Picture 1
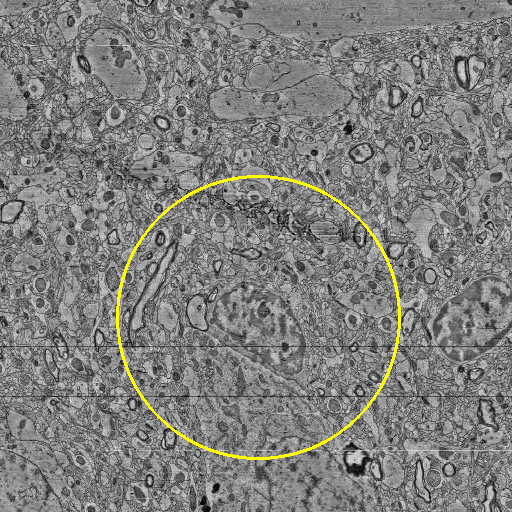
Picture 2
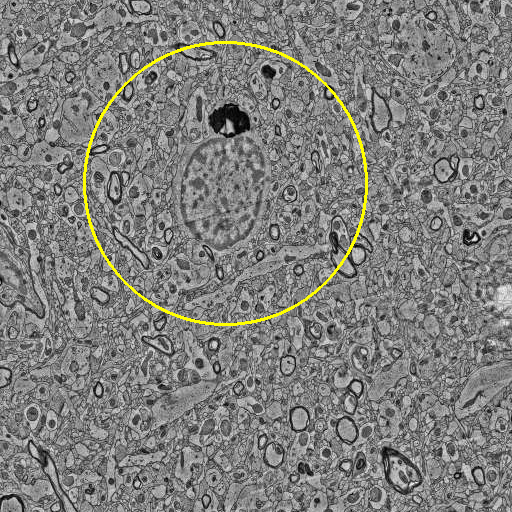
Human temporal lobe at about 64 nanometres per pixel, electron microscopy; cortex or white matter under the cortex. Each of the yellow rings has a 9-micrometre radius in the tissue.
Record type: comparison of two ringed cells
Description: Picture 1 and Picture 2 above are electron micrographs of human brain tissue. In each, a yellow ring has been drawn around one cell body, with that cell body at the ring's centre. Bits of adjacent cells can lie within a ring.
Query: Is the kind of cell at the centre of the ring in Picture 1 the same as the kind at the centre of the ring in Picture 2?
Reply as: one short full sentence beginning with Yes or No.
Yes, the two ringed cells are of the same kind.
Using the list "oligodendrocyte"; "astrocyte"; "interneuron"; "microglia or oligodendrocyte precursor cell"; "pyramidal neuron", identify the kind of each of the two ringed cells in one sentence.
The cell at the ring centre is an oligodendrocyte in both pictures.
